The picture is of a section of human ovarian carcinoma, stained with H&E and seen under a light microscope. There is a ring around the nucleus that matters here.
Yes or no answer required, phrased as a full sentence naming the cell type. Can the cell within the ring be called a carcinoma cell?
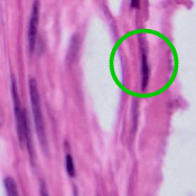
No, what the cell within the ring represents is a fibroblast rather than a carcinoma cell.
